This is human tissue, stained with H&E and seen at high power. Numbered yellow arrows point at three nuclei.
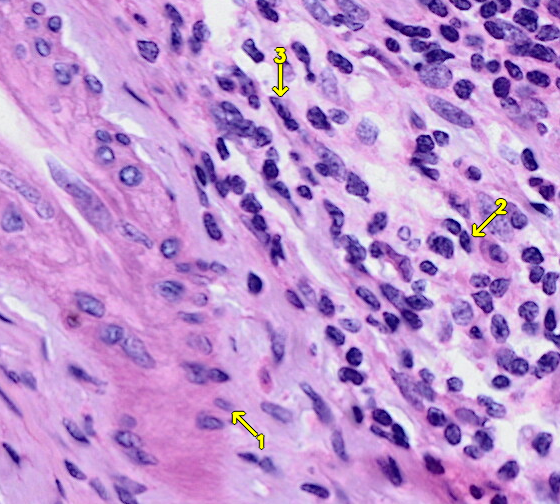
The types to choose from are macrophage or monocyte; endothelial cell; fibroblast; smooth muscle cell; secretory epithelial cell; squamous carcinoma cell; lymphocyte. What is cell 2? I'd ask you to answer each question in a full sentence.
Number 2 among the marked cells is a lymphocyte.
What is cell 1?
Cell 1 of the marked set is a smooth muscle cell.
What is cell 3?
Recognised here as a lymphocyte is the cell numbered 3.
